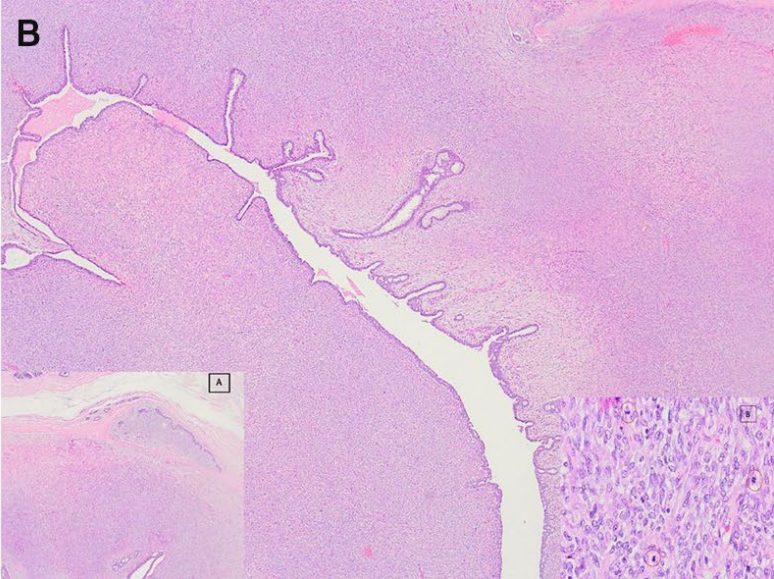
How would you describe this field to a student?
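A low-power view of a tumor made mostly of dense, cellular mesenchymal stroma stained pink to purple. Long, branching, slit-like clefts run through the stroma, each lined by a thin, regular layer of bland epithelium, and the stroma lies closely around them. A lower left inset shows the edge of the tumor, where a rounded tongue of cellular tissue protrudes into paler surrounding tissue. A lower right high-power inset shows crowded spindle-shaped stromal cells with elongated, somewhat variable nuclei, and several small circles mark dark, condensed dividing nuclei scattered among them.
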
